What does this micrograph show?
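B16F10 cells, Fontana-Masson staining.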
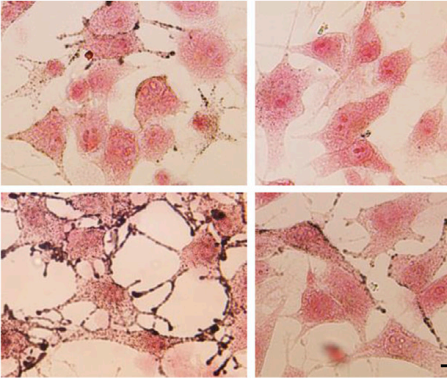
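Cultured pigment cells with pink-stained, rounded to oval nuclei and pale cytoplasm. Some fields show cells with long, branching dendrites laden with black-brown melanin granules that form a dense network between neighbouring cells. Other fields show flatter, polygonal cells with few short processes and only sparse dark granules.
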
